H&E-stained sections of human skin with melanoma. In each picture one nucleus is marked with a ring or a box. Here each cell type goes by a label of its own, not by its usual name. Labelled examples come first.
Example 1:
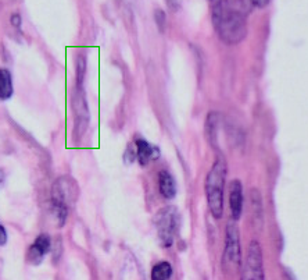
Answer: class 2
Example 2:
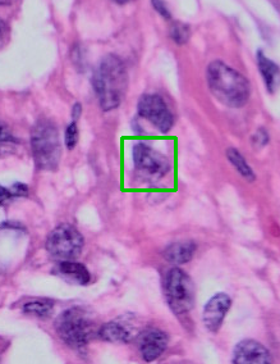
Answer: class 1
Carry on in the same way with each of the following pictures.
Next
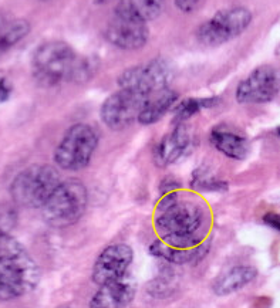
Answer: class 1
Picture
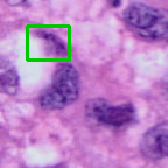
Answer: class 1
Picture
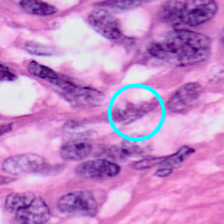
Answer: class 1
